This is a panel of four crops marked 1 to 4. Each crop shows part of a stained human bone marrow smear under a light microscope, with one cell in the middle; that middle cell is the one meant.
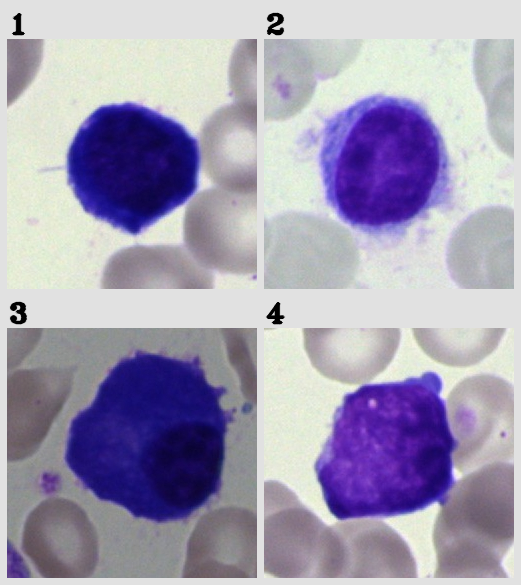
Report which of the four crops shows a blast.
4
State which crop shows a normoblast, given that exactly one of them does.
1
